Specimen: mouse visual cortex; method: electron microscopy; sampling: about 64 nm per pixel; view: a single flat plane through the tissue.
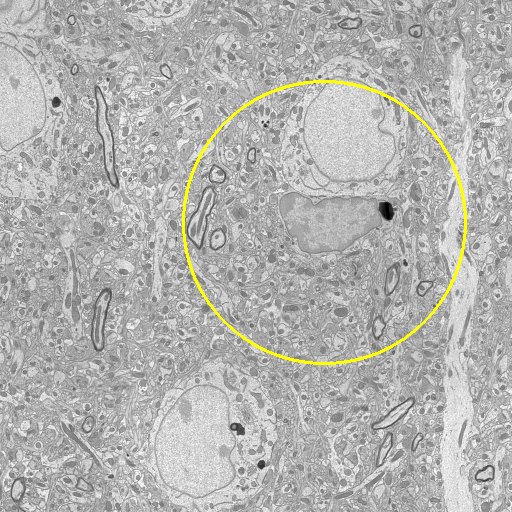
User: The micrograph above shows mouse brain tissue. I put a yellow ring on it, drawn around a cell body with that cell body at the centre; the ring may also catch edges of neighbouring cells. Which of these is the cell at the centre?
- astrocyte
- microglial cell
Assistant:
microglial cell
